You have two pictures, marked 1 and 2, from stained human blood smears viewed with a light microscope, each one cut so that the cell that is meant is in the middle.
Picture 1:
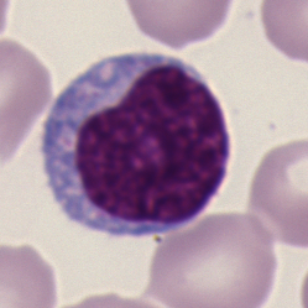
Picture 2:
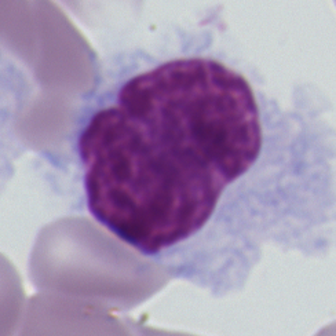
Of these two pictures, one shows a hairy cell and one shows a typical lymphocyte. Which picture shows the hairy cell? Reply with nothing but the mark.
2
